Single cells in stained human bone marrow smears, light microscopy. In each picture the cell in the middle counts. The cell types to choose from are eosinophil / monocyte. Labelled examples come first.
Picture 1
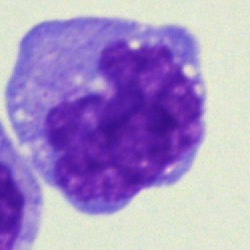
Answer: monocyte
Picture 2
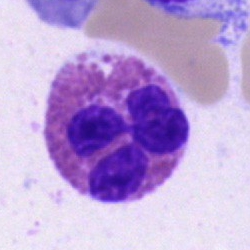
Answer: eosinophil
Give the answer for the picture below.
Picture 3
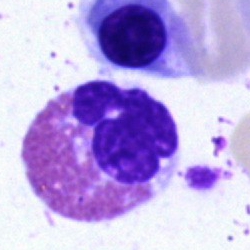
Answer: eosinophil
